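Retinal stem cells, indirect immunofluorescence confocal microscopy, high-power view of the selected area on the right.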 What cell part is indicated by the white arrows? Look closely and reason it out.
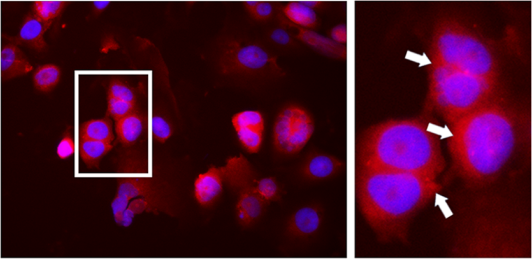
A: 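The arrows point at red-stained regions lying outside the blue nuclei. The red signal surrounds the blue nuclei in each cell.
Conclusion: cytoplasm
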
